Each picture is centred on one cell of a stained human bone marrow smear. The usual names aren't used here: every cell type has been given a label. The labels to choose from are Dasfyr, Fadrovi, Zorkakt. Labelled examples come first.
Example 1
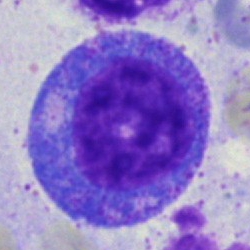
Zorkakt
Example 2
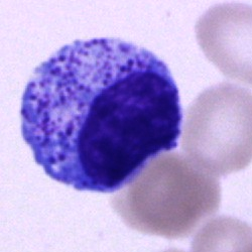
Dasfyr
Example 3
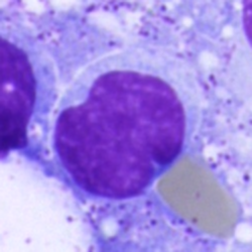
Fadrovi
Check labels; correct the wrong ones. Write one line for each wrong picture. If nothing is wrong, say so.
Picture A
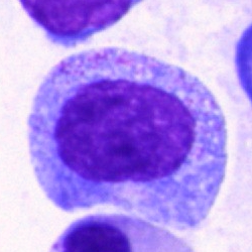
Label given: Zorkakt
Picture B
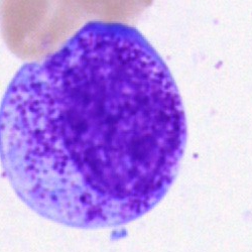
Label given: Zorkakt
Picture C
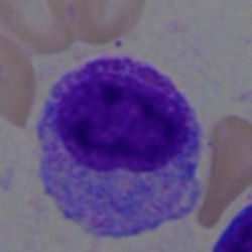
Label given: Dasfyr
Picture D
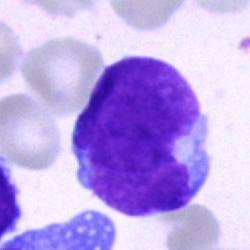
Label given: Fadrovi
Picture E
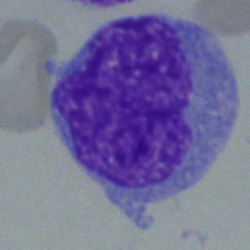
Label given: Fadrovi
None of the labels needs changing.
